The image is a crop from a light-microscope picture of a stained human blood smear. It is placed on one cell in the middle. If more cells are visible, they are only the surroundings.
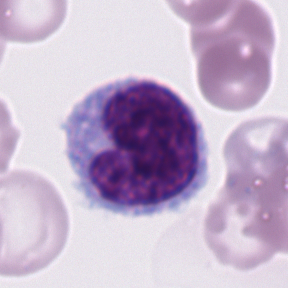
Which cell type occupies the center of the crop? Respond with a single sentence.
Framed in the middle of the crop is a monocyte.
